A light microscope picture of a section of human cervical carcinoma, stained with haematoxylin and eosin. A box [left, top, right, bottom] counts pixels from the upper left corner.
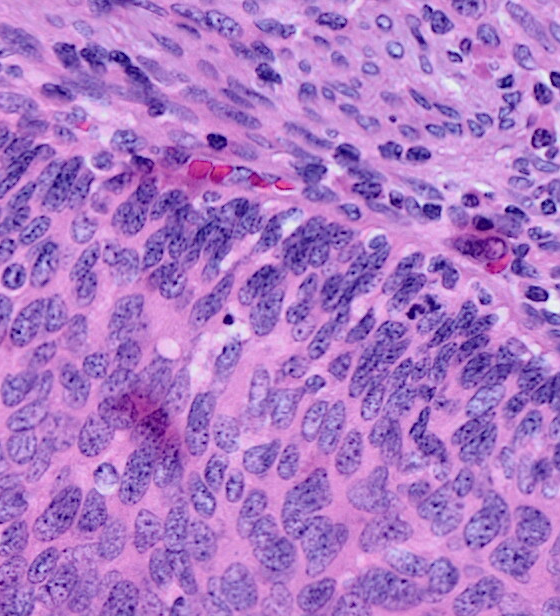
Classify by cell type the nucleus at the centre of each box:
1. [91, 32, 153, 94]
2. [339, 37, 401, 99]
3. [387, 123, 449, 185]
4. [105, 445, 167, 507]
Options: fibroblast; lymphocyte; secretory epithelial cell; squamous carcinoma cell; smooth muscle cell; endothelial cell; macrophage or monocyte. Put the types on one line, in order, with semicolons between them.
lymphocyte; smooth muscle cell; lymphocyte; squamous carcinoma cell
